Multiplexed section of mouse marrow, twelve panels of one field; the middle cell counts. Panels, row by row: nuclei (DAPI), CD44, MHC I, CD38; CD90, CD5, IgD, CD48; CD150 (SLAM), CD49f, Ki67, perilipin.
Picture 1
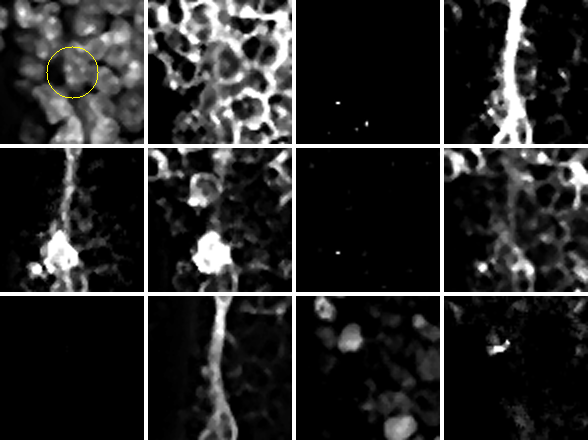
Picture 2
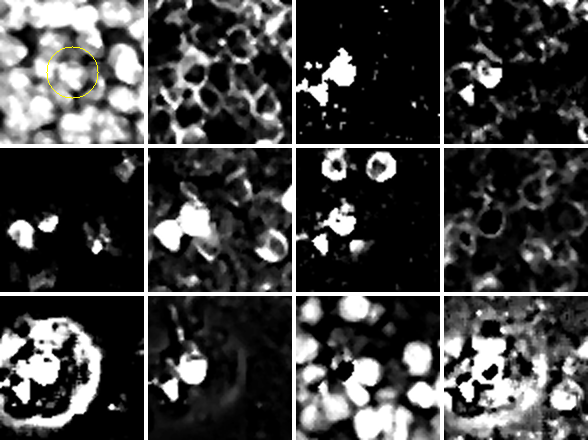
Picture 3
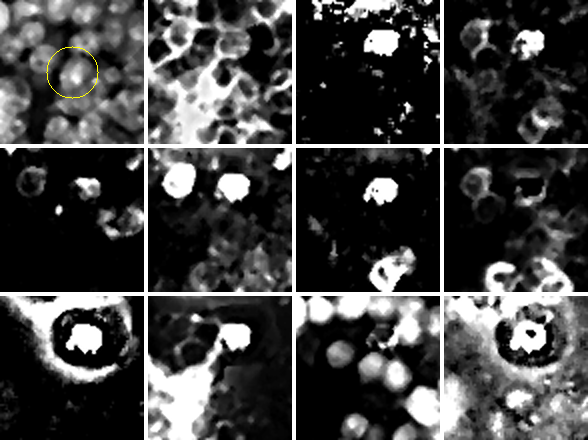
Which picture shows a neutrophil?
Picture 3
